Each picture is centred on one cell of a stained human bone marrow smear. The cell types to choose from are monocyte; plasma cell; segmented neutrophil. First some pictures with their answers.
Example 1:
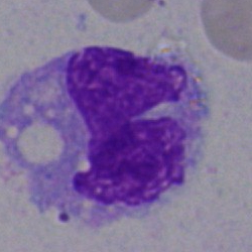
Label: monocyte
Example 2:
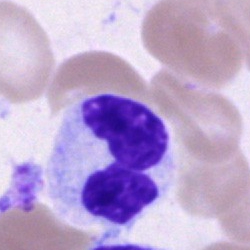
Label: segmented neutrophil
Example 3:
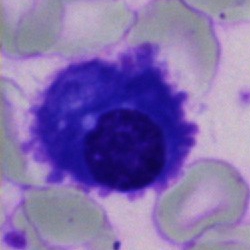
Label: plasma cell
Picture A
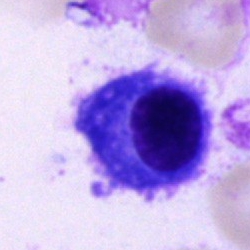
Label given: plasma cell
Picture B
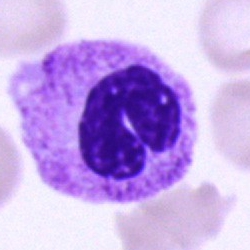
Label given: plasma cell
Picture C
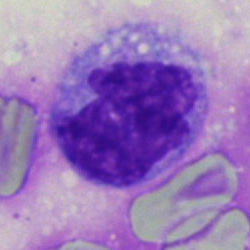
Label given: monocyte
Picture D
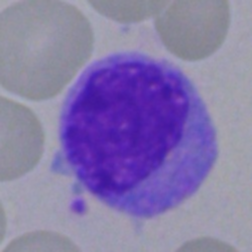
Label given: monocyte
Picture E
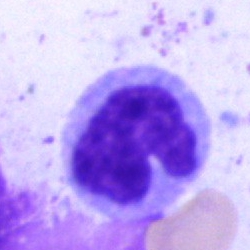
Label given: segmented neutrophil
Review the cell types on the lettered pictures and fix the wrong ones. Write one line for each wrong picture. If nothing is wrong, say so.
B should be segmented neutrophil, not plasma cell
E should be monocyte, not segmented neutrophil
